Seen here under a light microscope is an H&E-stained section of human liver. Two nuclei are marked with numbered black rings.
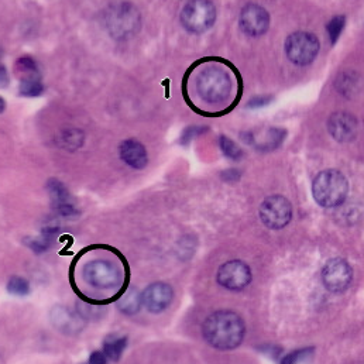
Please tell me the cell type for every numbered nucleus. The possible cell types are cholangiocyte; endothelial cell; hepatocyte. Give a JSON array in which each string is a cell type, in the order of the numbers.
["hepatocyte", "cholangiocyte"]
